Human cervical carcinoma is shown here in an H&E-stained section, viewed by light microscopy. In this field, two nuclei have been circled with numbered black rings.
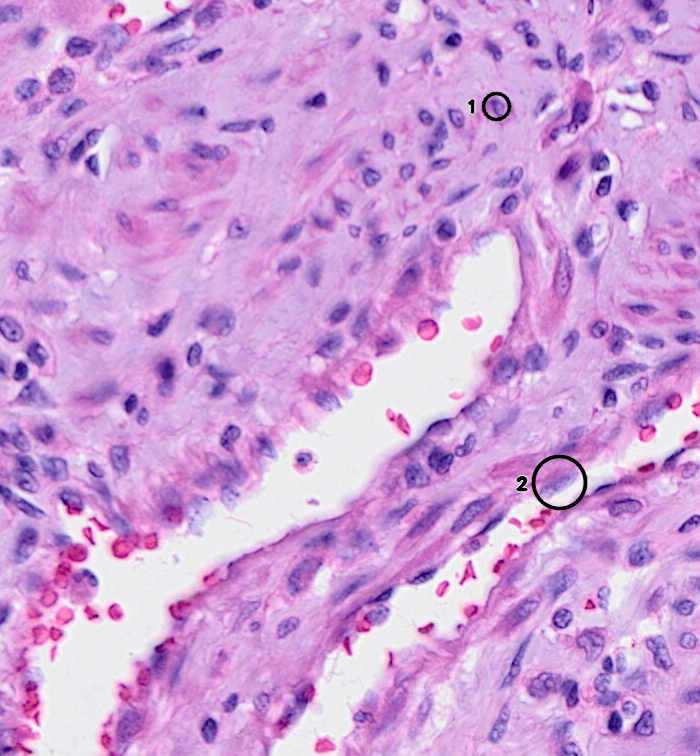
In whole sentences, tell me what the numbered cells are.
Cell 1 is a smooth muscle cell and cell 2 is an endothelial cell.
